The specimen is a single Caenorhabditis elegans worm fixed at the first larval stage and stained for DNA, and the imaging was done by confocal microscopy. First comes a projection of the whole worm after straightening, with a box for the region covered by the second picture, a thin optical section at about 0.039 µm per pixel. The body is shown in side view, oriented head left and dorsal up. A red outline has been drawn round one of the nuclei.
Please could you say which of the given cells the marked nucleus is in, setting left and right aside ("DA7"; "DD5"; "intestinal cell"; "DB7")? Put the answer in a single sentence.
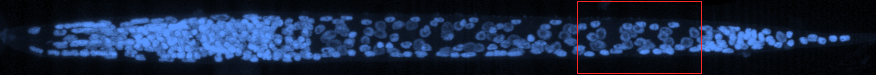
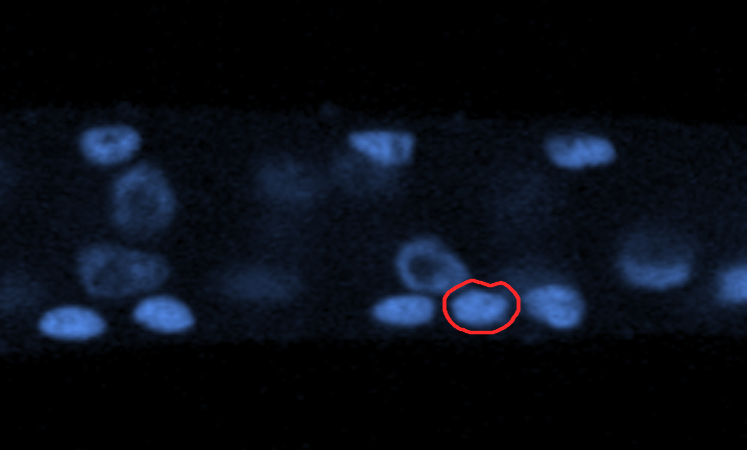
The marked nucleus is that of DB7, a neuron.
